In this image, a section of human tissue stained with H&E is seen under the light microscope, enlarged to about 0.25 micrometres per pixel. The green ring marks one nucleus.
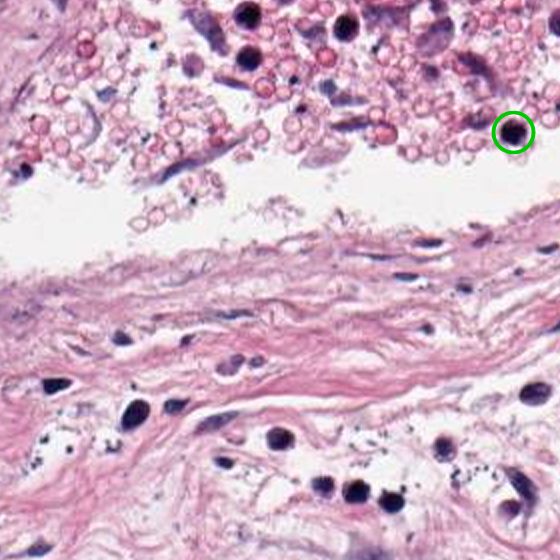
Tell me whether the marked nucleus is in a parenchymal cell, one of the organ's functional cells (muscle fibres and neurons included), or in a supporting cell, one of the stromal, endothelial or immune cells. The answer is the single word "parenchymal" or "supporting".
supporting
